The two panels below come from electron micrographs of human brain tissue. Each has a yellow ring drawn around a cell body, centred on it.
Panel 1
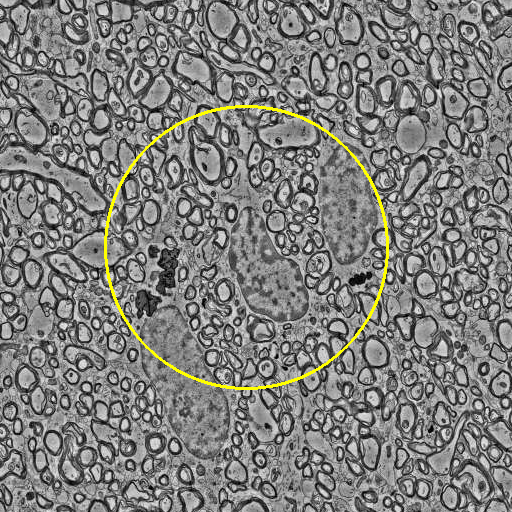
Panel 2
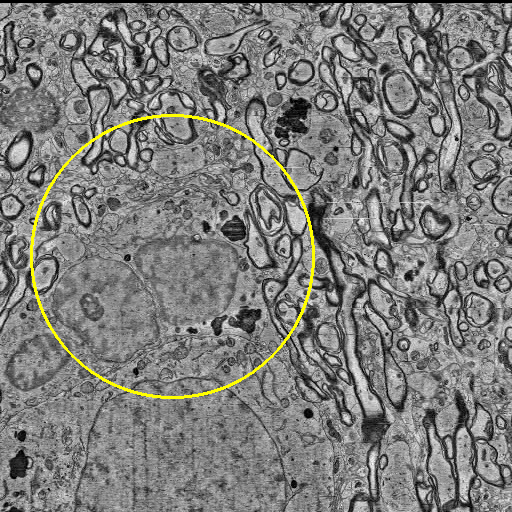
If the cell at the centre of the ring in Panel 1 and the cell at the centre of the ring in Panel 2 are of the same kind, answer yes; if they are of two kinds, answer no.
no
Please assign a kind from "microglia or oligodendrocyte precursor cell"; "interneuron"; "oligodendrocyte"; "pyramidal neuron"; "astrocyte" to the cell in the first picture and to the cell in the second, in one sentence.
In the first picture we have a microglial cell or oligodendrocyte precursor cell, and in the second, an oligodendrocyte.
